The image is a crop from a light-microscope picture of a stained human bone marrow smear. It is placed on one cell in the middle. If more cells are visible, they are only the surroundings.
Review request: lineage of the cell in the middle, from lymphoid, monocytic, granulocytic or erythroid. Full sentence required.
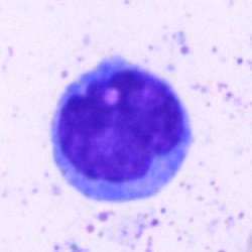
Lineage-wise, the cell in the center of the crop is monocytic.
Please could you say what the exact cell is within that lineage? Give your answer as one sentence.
Within this crop, a monocyte occupies the central position.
